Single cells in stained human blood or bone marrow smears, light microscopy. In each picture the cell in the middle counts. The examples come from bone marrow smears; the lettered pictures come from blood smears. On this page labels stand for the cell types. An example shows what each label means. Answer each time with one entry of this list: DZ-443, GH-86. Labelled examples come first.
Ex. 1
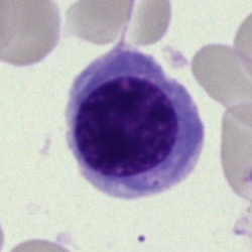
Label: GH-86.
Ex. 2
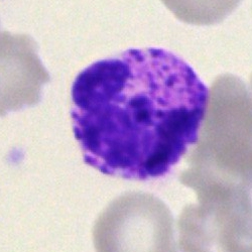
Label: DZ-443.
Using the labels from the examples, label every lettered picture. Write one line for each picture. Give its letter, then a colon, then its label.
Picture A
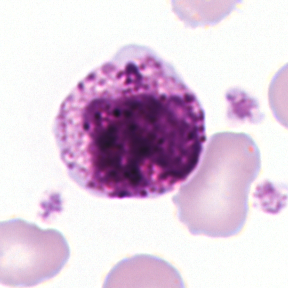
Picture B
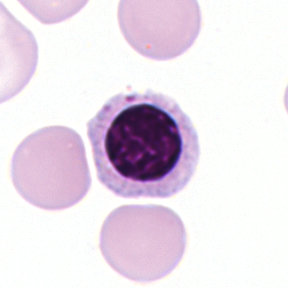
A: DZ-443.
B: GH-86.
